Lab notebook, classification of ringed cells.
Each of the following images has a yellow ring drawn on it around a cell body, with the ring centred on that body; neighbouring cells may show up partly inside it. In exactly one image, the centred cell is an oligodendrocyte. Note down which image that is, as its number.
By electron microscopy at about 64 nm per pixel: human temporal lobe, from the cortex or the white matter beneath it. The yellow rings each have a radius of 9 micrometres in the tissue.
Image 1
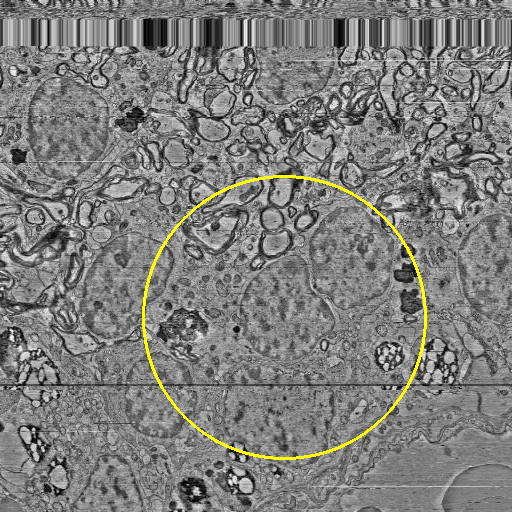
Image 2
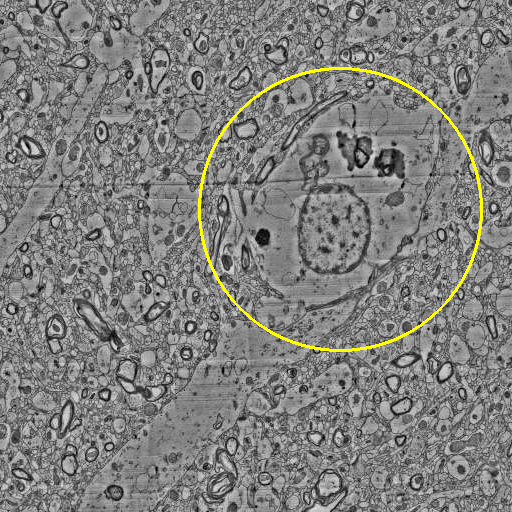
1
